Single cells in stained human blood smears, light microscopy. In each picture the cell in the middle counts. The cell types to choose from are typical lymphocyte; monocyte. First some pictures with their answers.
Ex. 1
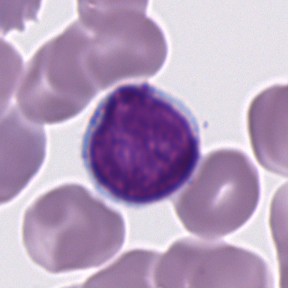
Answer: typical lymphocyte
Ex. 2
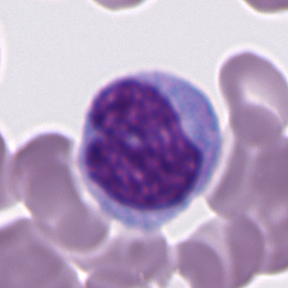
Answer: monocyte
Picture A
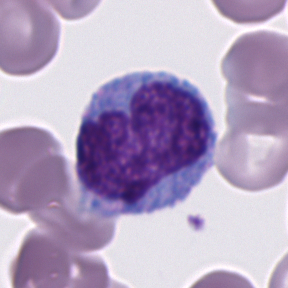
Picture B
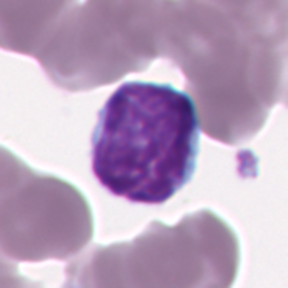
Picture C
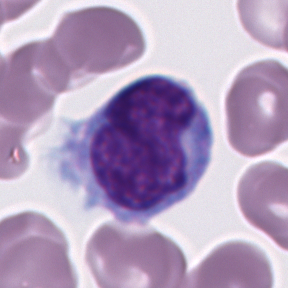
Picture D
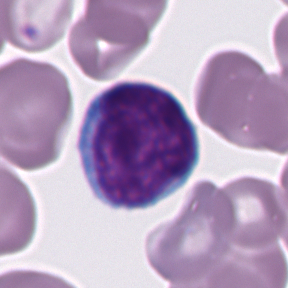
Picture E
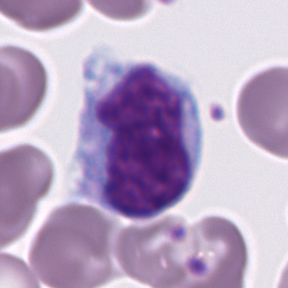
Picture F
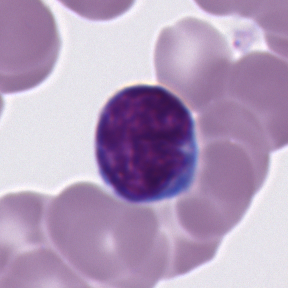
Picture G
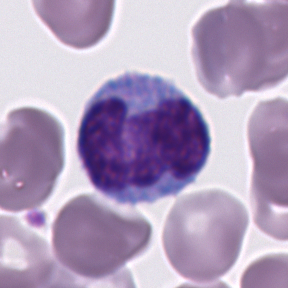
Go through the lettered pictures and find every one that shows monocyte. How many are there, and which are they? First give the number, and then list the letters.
Count: 4 (A, C, E, G)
